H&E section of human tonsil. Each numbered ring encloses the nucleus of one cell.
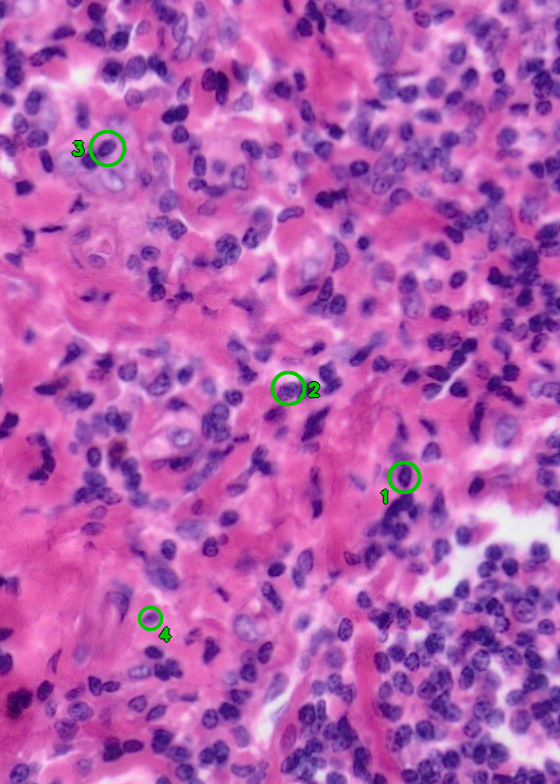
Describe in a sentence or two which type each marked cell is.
Cell 1 is a plasma cell. Cells 2 and 4 are mast cells. Cell 3 is an endothelial cell.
